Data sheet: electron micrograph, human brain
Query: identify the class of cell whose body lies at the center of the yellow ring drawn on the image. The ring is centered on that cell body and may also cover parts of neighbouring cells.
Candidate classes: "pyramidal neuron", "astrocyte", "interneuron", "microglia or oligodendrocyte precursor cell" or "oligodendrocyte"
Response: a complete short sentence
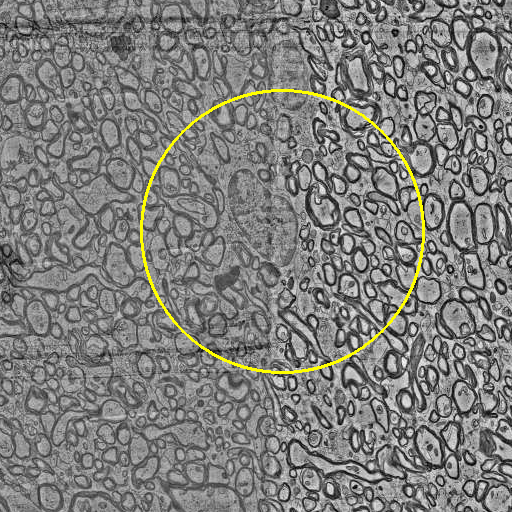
At the center of the ring lies a microglial cell or oligodendrocyte precursor cell.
